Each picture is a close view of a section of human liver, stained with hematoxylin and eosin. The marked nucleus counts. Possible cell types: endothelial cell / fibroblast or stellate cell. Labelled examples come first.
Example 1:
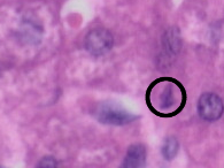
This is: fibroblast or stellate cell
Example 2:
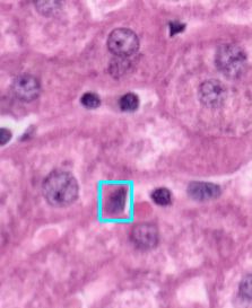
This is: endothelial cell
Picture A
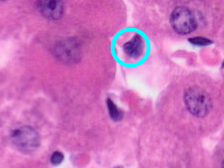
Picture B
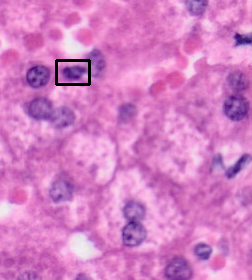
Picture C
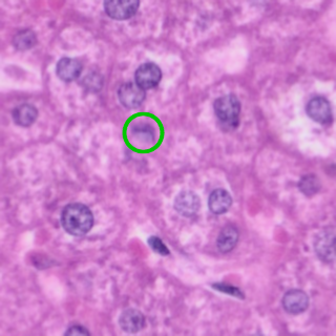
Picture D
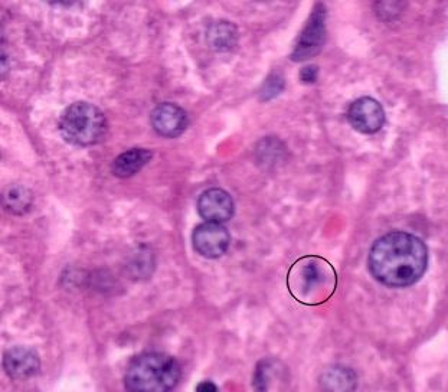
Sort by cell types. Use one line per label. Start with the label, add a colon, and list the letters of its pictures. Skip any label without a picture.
endothelial cell: C, D
fibroblast or stellate cell: A, B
